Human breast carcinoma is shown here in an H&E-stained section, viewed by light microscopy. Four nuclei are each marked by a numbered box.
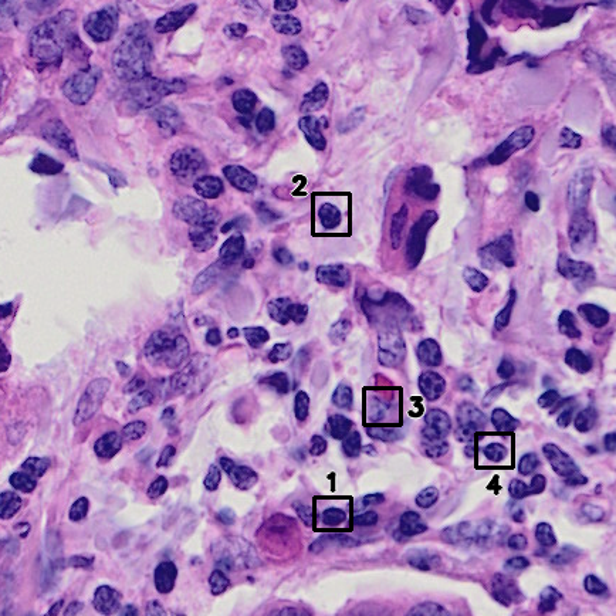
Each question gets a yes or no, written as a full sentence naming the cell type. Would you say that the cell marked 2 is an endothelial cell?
No, that is wrong: cell 2 is a lymphocyte, and not an endothelial cell.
